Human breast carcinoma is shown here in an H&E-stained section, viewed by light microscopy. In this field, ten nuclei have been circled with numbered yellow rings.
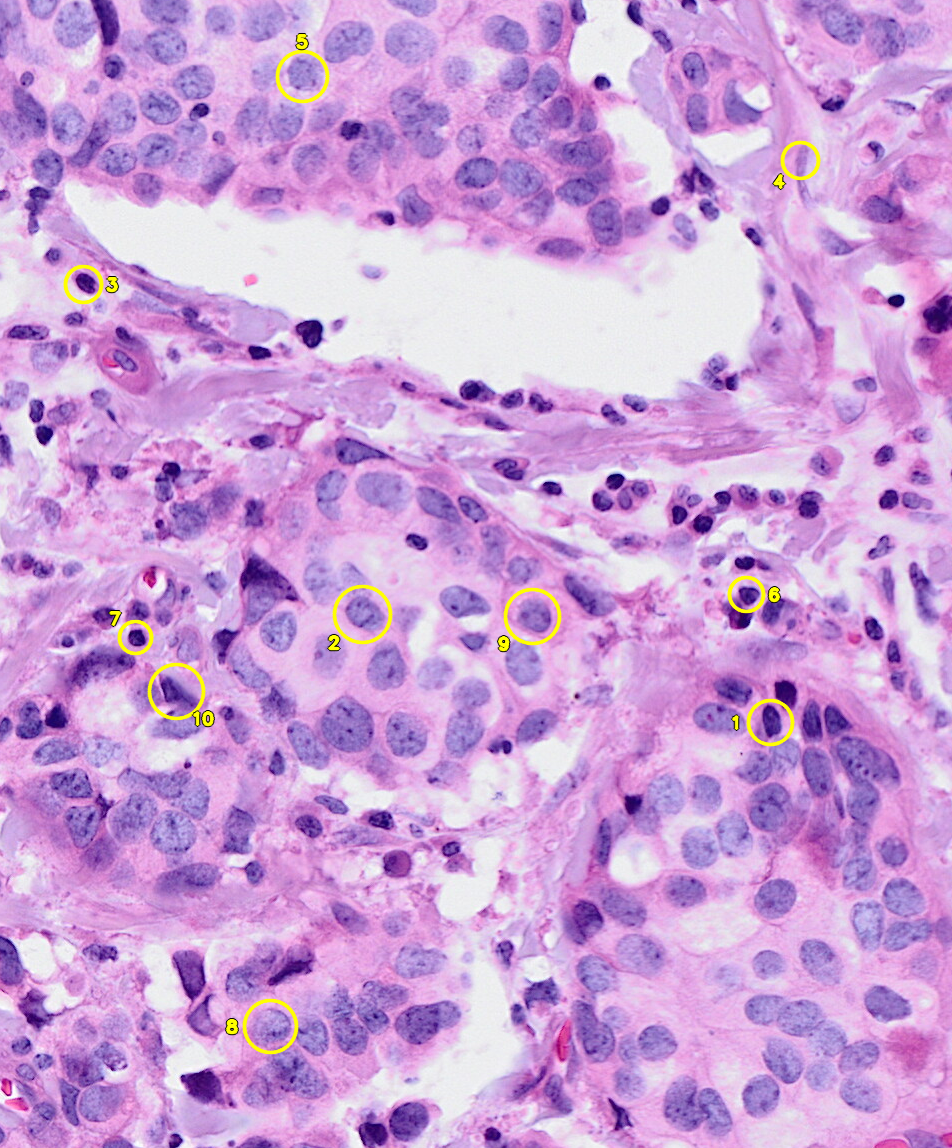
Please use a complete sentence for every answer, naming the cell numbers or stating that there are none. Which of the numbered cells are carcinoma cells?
The cells numbered 1, 2, 5, 8, 9 and 10 are identified as carcinoma cells.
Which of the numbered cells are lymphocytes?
The cells 3, 6 and 7 in this section are lymphocytes.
